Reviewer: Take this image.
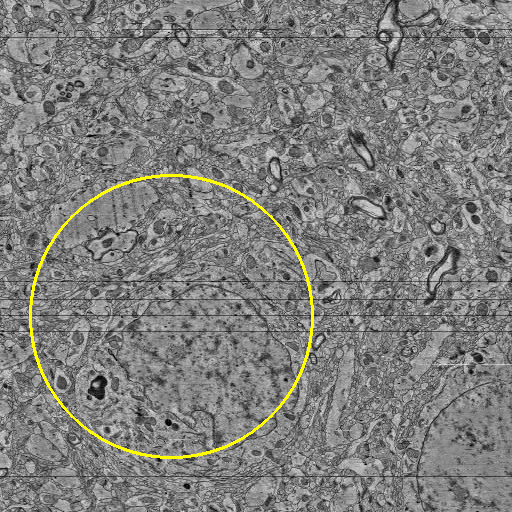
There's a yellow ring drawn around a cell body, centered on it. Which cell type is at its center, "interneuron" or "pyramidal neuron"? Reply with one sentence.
At the center of the yellow ring is an interneuron.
